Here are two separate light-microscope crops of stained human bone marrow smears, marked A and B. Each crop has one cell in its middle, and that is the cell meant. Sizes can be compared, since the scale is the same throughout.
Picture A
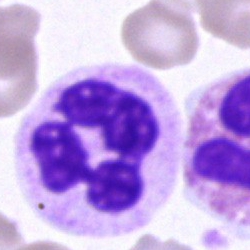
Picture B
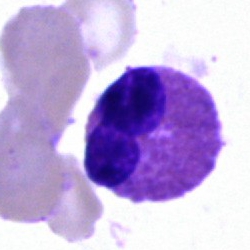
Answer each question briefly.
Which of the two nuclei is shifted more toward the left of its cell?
B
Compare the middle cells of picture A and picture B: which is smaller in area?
B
